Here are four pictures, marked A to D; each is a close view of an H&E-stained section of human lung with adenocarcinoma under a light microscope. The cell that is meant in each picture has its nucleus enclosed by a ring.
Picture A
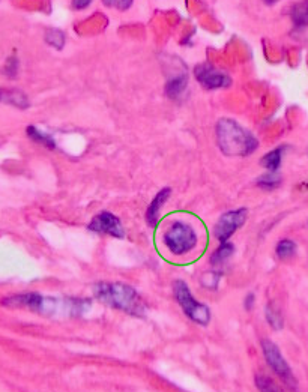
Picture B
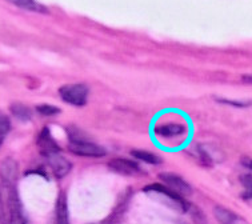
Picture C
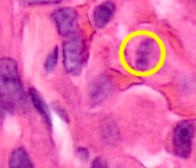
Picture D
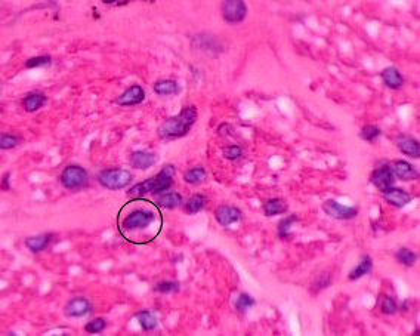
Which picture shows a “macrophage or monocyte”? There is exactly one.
C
